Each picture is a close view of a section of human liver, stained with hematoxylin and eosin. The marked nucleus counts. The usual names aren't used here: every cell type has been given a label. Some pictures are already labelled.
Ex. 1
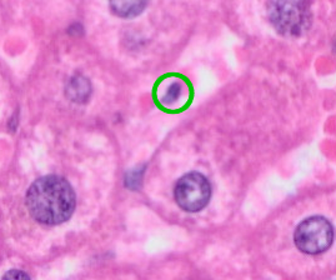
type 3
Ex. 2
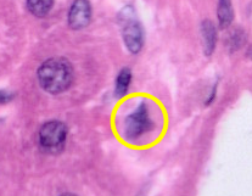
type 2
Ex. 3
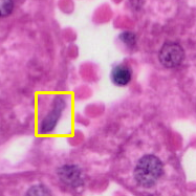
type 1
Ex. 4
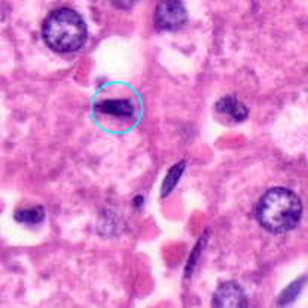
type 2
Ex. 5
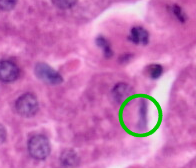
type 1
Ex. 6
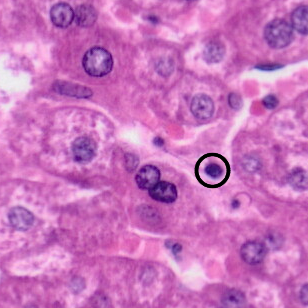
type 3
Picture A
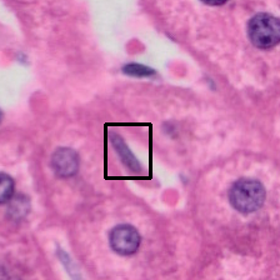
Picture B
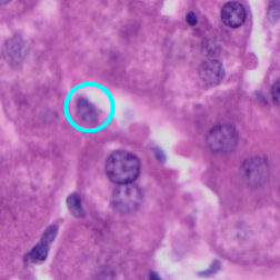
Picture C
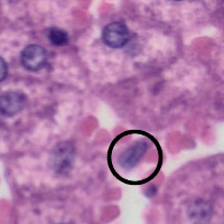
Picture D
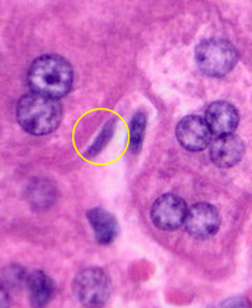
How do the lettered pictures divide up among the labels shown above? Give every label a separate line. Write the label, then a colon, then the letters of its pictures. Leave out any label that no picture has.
type 1: A, B, C, D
